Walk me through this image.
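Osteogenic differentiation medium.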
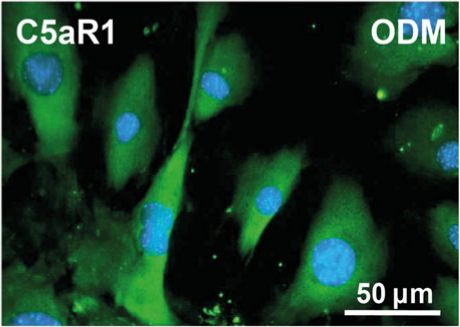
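Cells are large, flattened, polygonal to spindle-shaped, with broad cytoplasmic extensions that touch or overlap neighbouring cells. Each cell holds a single oval blue nucleus, centrally or slightly eccentrically placed, with fine speckled texture. The green staining is fairly even across the cytoplasm, somewhat brighter around the nucleus, with small bright green dots scattered in the background between cells. Dark gaps separate some cells; others form a near-continuous sheet.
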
